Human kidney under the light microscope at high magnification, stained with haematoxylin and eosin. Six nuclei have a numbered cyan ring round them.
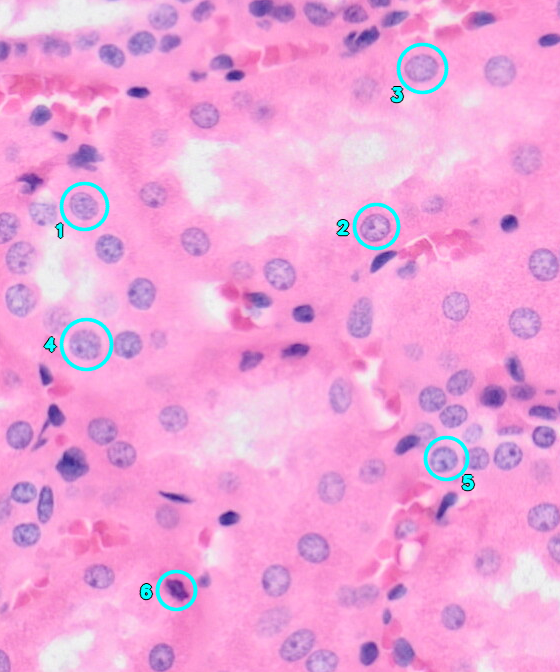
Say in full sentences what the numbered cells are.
Cell 1 is a loop of Henle or distal tubule cell, cell 2 is a proximal tubule cell, cell 3 is a proximal tubule cell, cell 4 is a loop of Henle or distal tubule cell, cell 5 is a collecting duct cell and cell 6 is a proximal tubule cell.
